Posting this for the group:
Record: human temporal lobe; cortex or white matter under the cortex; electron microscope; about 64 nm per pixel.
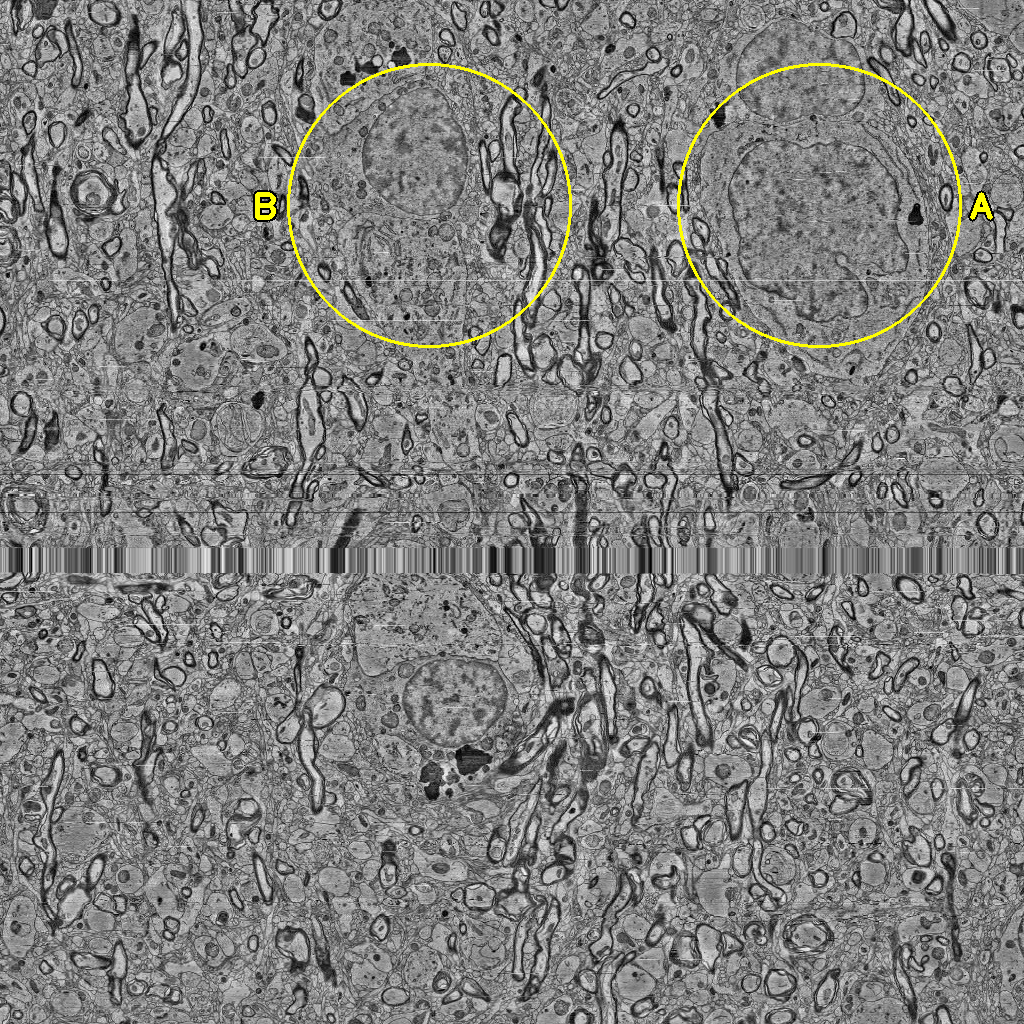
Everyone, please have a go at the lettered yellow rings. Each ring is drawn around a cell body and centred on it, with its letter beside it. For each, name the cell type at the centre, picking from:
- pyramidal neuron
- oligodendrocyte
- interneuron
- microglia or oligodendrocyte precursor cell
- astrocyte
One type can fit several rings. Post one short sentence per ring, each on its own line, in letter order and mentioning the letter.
My call for ring A is an interneuron.
My call for ring B is an oligodendrocyte.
